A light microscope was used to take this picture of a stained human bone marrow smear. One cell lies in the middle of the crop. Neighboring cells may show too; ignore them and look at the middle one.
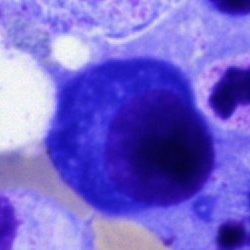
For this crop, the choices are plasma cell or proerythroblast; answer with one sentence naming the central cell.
To answer, the cell in the center of the crop is a plasma cell.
